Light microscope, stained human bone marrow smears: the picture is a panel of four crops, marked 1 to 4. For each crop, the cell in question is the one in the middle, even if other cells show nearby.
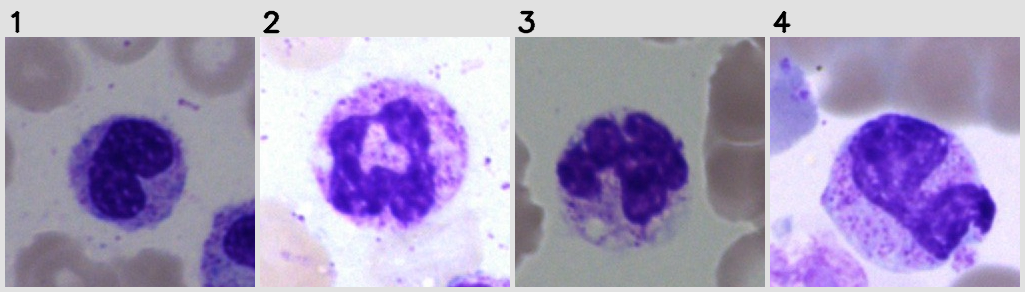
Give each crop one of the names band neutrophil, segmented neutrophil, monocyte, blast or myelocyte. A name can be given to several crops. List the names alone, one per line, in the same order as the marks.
band neutrophil
segmented neutrophil
segmented neutrophil
band neutrophil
